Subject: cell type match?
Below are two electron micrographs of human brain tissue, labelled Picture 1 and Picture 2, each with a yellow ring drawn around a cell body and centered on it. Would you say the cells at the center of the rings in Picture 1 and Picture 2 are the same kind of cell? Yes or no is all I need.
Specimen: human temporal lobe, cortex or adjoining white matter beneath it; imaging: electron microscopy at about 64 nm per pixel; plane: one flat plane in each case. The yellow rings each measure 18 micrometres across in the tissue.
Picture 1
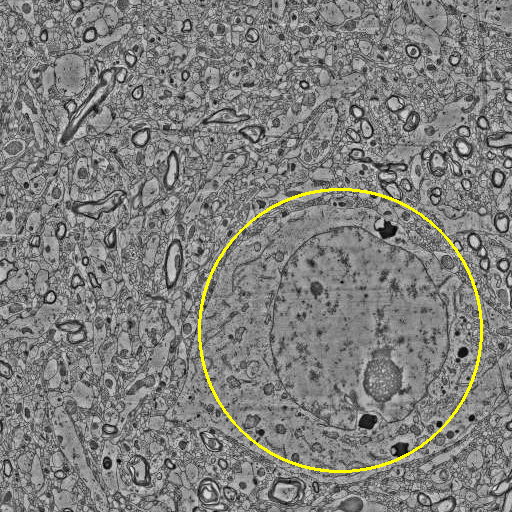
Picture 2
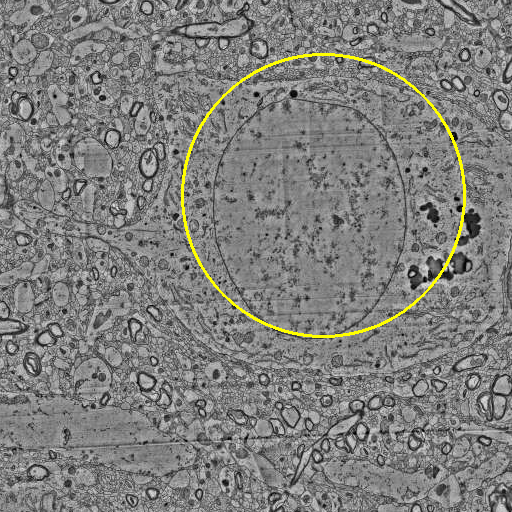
yes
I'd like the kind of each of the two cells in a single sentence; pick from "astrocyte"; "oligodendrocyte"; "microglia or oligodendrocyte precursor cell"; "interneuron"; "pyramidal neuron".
Both the first and the second picture show a pyramidal neuron in the ring.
